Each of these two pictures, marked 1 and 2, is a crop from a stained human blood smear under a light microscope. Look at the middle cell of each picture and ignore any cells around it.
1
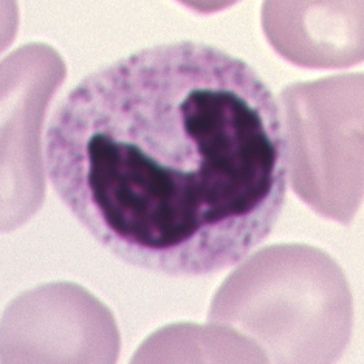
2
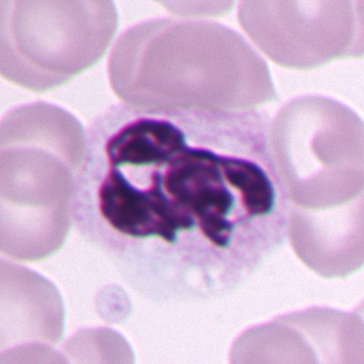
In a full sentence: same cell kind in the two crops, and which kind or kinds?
Yes, they do, both crops show segmented neutrophils.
